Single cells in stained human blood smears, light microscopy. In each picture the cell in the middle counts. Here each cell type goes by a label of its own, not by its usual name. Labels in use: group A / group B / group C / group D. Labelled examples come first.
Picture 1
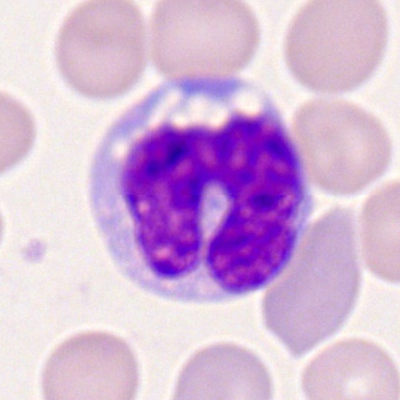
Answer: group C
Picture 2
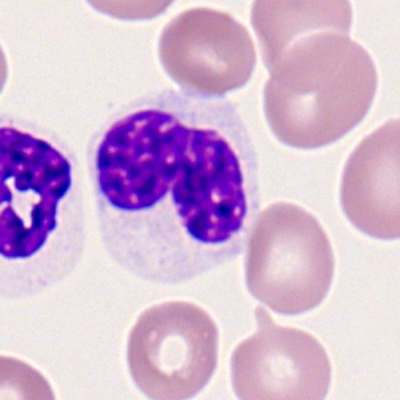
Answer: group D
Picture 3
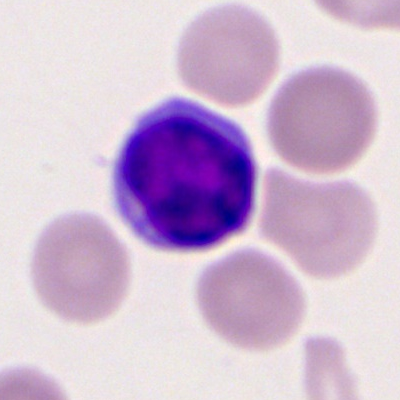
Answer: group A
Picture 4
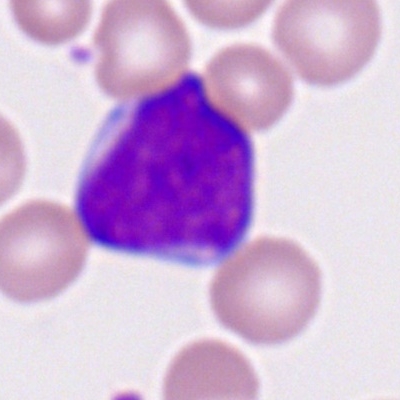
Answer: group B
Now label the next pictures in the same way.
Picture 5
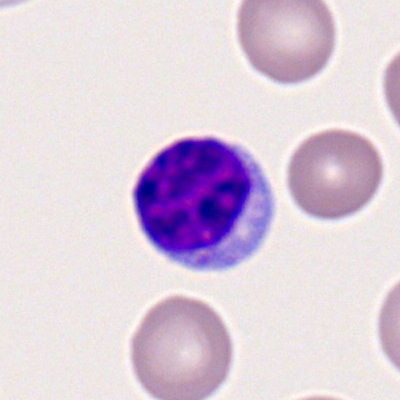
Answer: group A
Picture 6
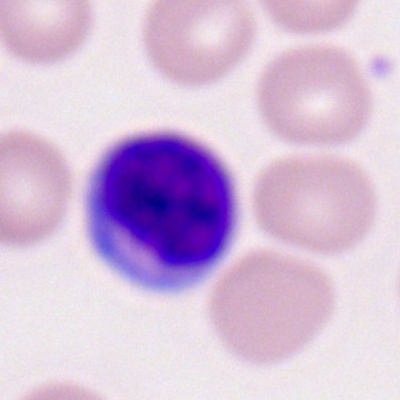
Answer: group A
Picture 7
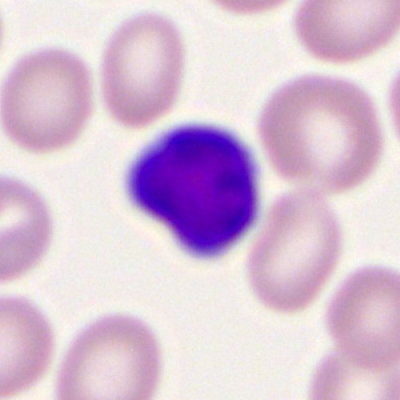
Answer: group A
